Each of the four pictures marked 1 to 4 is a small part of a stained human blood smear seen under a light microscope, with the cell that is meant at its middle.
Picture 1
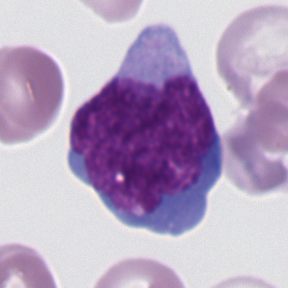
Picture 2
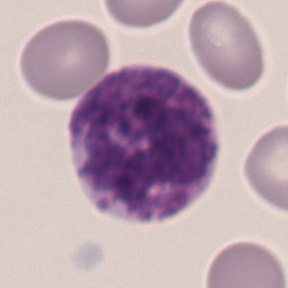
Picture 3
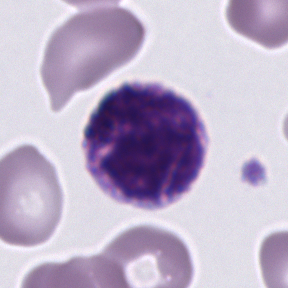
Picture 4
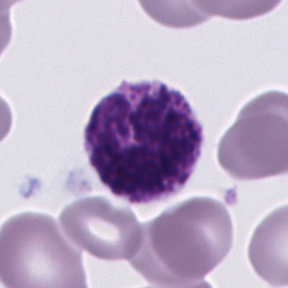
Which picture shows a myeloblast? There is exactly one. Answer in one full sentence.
It is picture 1 that shows the myeloblast.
